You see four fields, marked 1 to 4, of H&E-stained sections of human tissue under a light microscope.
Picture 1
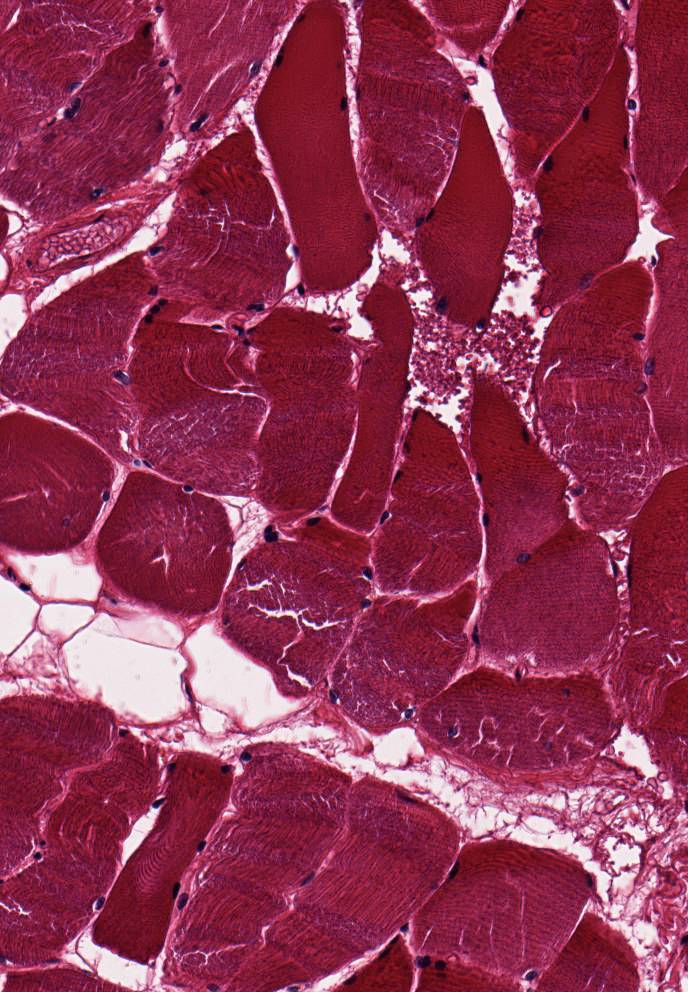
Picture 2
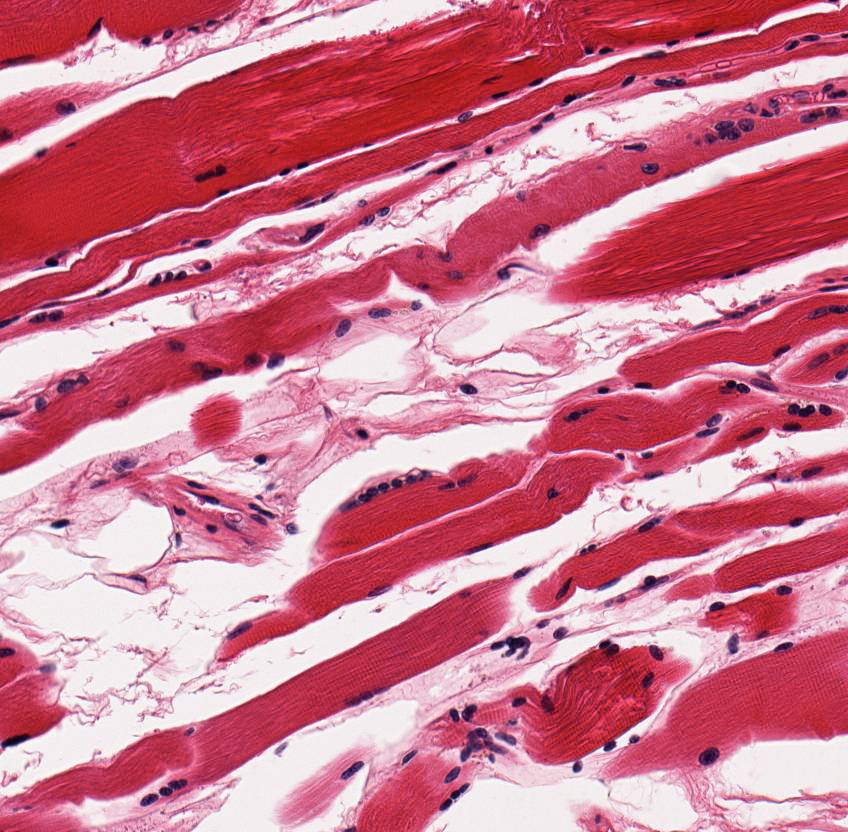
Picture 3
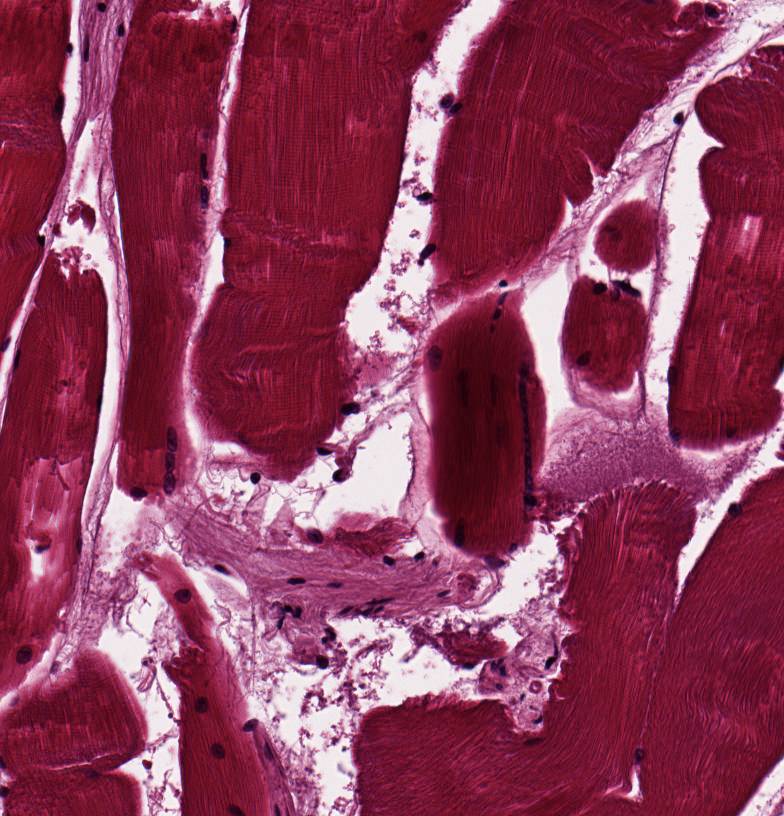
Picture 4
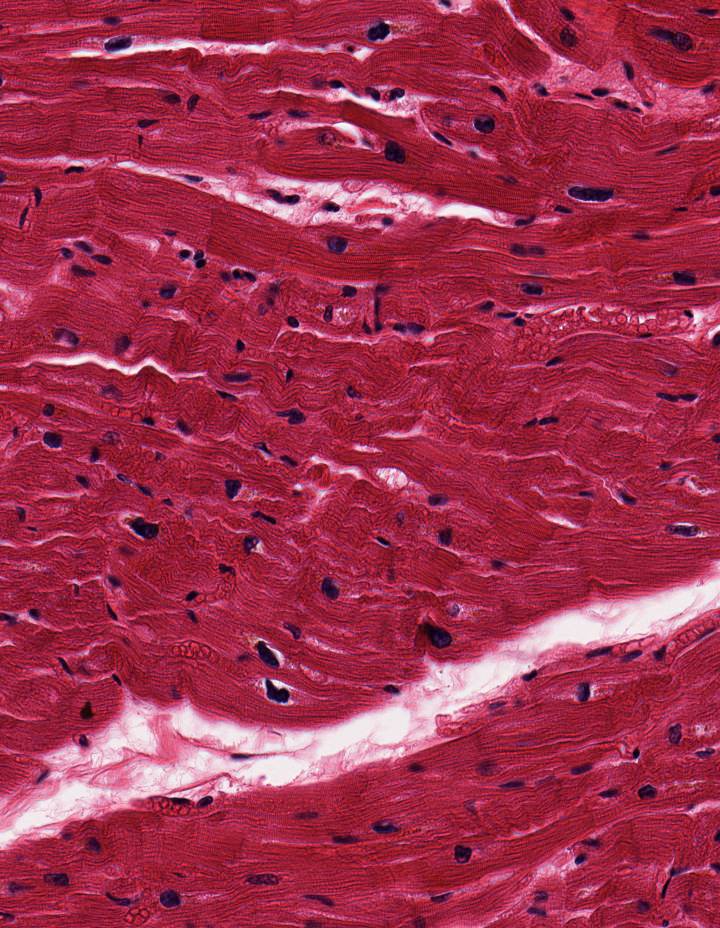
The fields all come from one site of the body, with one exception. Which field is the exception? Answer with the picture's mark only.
4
